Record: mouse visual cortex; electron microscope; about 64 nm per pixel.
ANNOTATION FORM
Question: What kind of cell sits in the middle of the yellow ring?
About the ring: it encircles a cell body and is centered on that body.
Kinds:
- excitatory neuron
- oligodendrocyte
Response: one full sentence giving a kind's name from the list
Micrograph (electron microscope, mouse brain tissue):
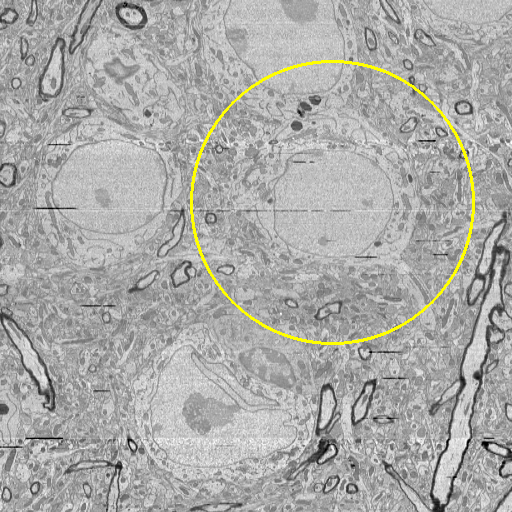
The kind of cell found at the center of the yellow ring in the micrograph is an excitatory neuron.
